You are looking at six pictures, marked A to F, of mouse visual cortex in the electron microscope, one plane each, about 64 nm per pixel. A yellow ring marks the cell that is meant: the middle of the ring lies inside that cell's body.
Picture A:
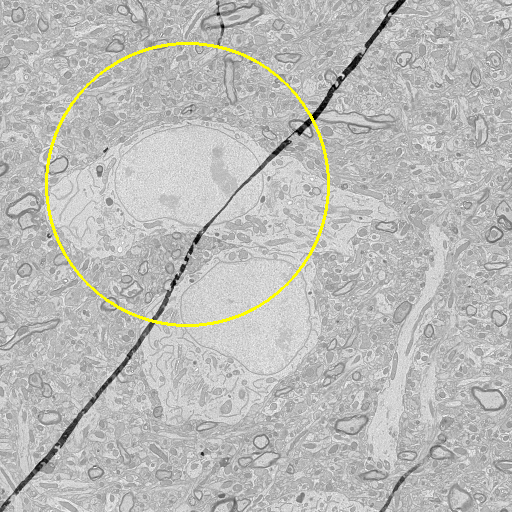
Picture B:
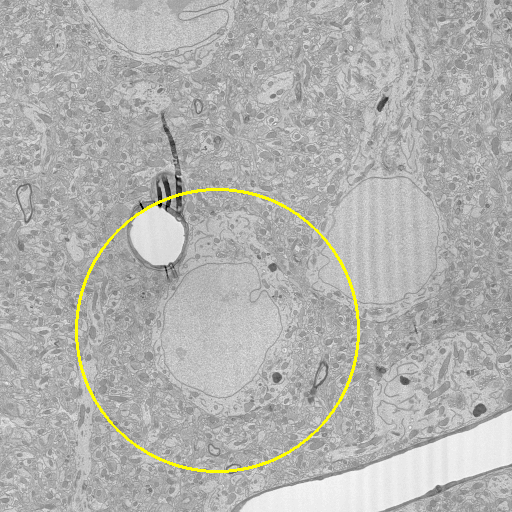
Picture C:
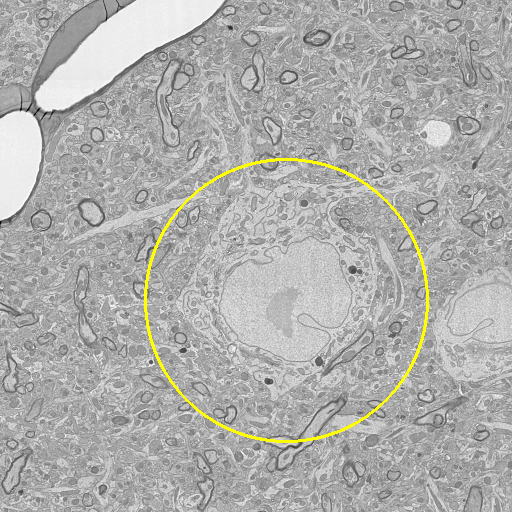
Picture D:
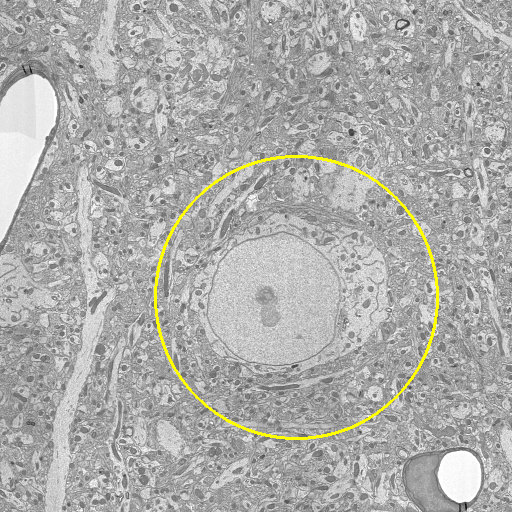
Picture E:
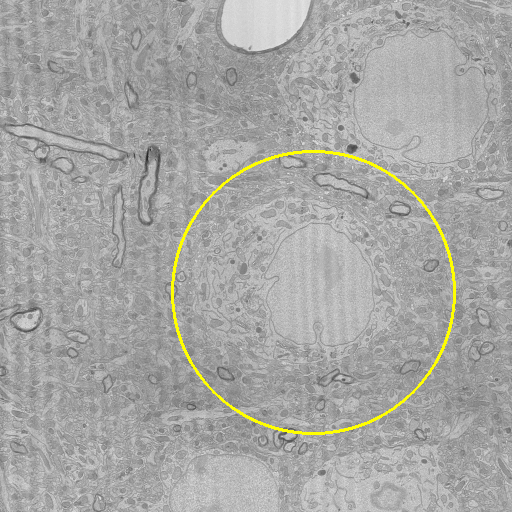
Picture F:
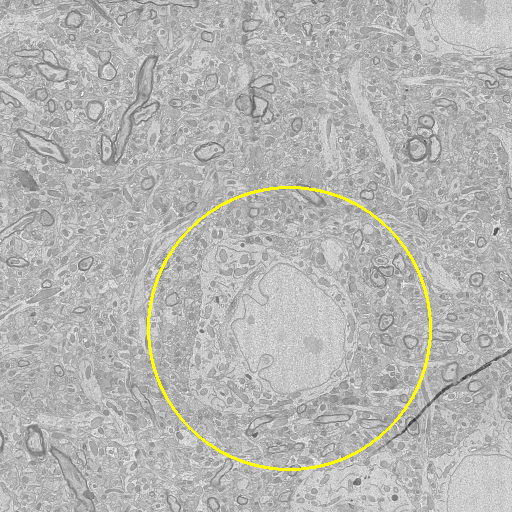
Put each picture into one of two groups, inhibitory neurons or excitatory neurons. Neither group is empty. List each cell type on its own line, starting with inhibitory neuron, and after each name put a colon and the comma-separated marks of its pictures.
inhibitory neuron: C, E, F
excitatory neuron: A, B, D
